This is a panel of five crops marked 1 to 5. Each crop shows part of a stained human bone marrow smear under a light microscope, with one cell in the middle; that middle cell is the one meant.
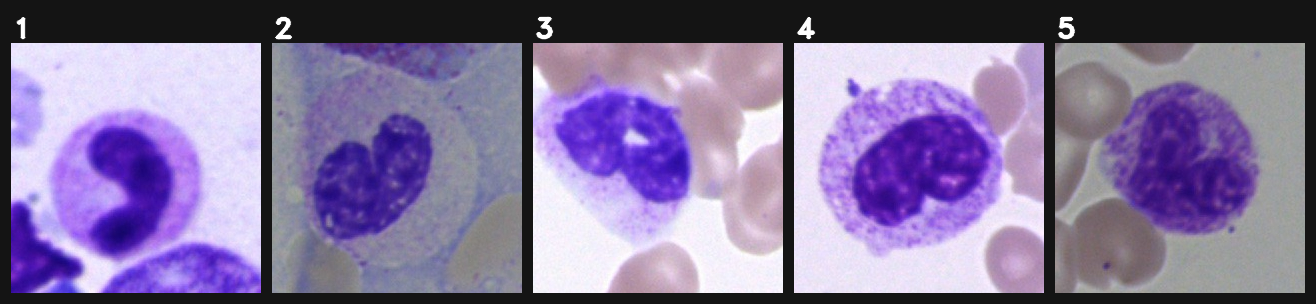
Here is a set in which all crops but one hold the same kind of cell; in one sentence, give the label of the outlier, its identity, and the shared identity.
Crop 3 differs: it is a segmented neutrophil, and all the other crops show band neutrophils.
